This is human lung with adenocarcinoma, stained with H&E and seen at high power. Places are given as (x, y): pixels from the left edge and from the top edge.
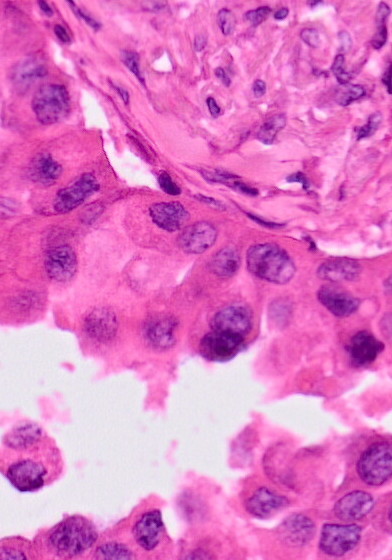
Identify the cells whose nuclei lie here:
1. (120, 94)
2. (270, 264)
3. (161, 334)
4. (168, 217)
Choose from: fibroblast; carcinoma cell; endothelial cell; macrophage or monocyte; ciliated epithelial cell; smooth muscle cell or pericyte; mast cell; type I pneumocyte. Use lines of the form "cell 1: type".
cell 1: fibroblast
cell 2: carcinoma cell
cell 3: carcinoma cell
cell 4: carcinoma cell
